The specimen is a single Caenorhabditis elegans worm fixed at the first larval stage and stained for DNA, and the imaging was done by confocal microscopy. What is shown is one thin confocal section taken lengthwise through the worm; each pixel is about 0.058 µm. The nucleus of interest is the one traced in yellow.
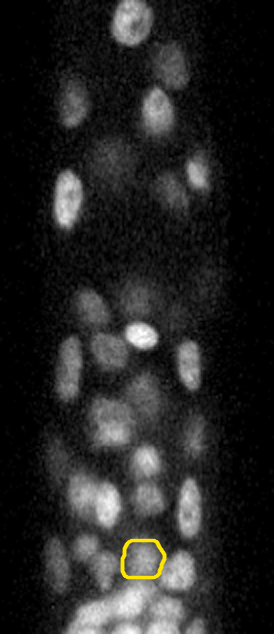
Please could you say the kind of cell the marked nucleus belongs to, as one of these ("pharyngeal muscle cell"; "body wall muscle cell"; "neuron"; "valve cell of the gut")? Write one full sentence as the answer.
The marked cell is a neuron.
